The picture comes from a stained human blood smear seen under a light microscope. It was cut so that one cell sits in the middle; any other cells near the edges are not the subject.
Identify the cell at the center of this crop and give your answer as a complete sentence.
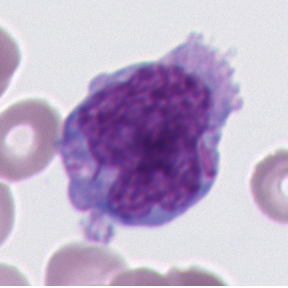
Looking at the middle of the crop, the cell there is an atypical promyelocyte.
